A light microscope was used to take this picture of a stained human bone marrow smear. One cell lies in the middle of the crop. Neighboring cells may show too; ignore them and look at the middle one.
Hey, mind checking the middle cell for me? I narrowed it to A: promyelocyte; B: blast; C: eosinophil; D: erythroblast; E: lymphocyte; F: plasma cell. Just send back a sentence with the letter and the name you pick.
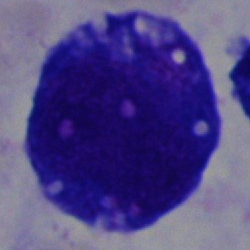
The one to choose is option B, as the cell in the middle is a blast.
